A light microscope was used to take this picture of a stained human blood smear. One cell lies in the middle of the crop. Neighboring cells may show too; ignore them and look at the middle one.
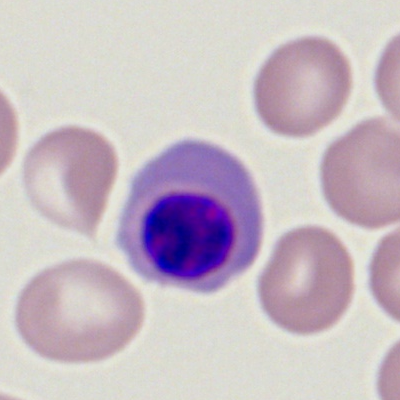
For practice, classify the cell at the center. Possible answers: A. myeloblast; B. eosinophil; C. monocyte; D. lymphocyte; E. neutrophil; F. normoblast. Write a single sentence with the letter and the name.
The central cell in this crop is a normoblast, corresponding to option F, the correct option.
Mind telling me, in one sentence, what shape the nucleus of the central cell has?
The nucleus is one compact mass, round, oval or kidney-shaped in outline.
